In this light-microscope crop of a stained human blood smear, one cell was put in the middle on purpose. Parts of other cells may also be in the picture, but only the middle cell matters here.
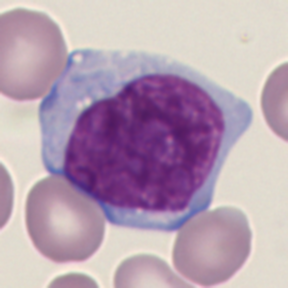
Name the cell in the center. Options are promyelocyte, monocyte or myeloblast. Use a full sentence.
The cell in the middle of this crop is a myeloblast.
